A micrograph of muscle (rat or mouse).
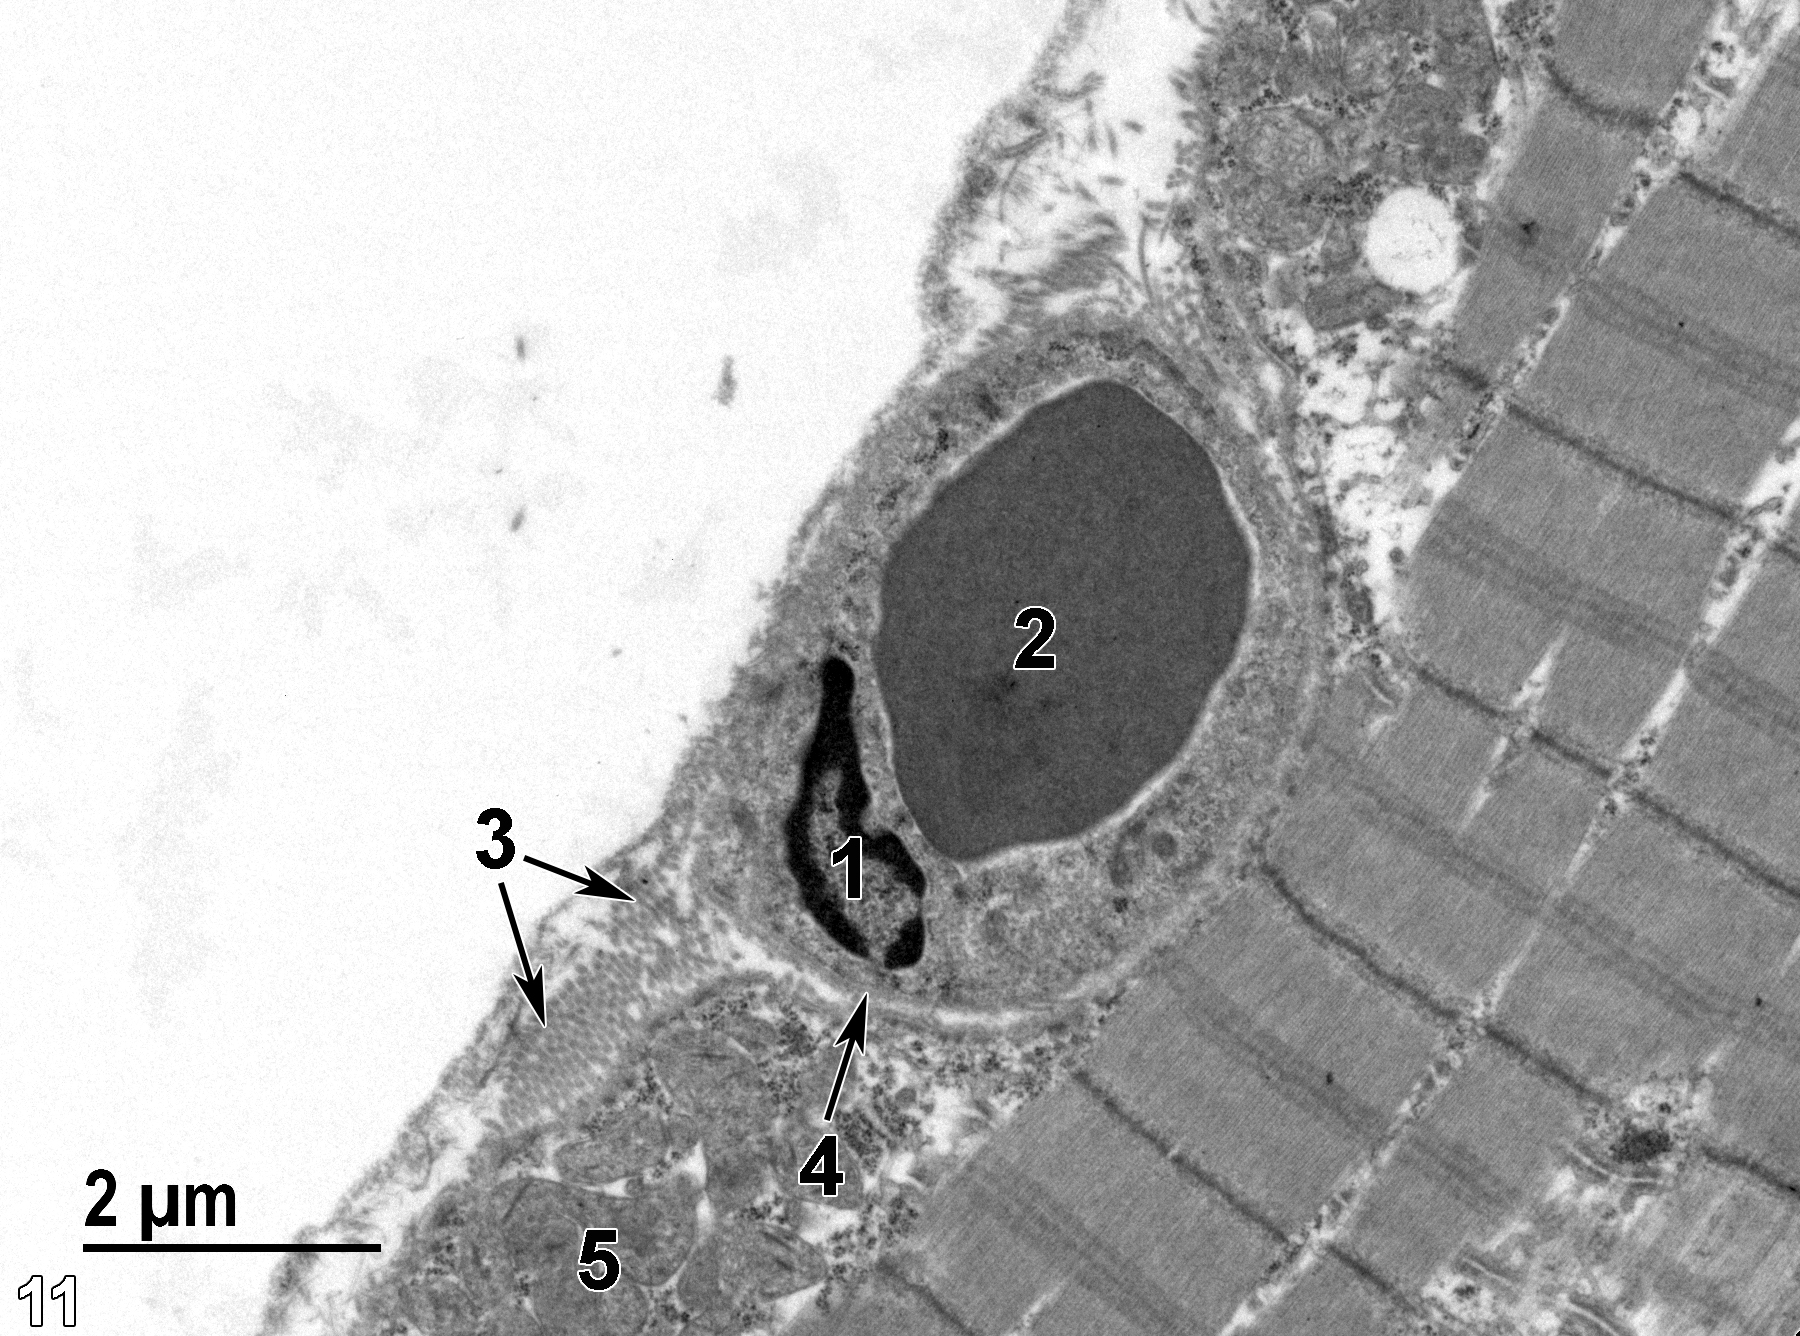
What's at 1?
endothelial nucleus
